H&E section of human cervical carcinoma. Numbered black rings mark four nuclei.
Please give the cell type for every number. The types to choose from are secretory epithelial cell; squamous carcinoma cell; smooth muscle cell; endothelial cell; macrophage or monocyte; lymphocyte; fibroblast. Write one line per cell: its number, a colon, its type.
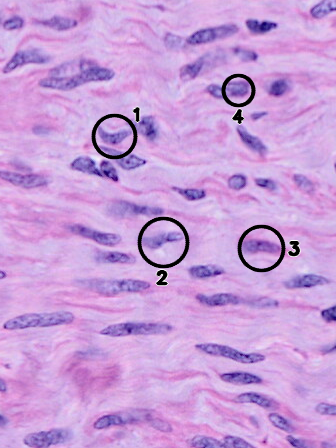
1: fibroblast
2: fibroblast
3: smooth muscle cell
4: smooth muscle cell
